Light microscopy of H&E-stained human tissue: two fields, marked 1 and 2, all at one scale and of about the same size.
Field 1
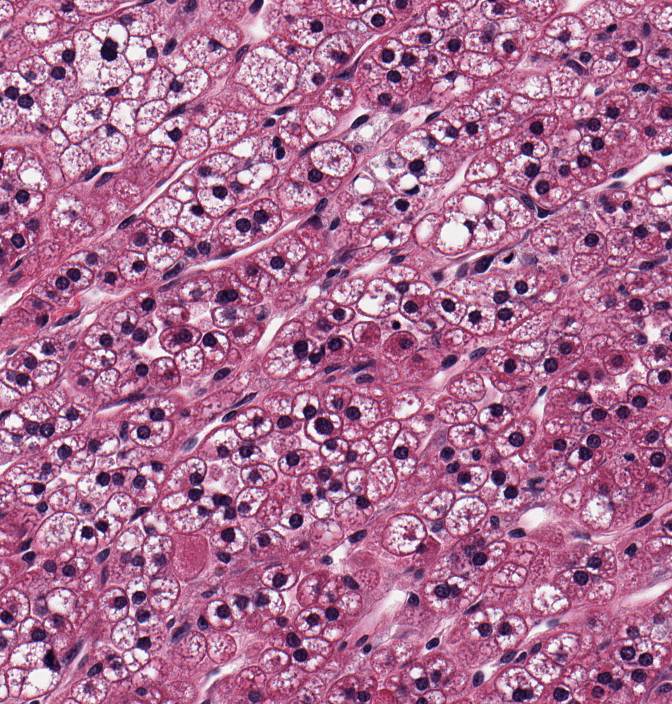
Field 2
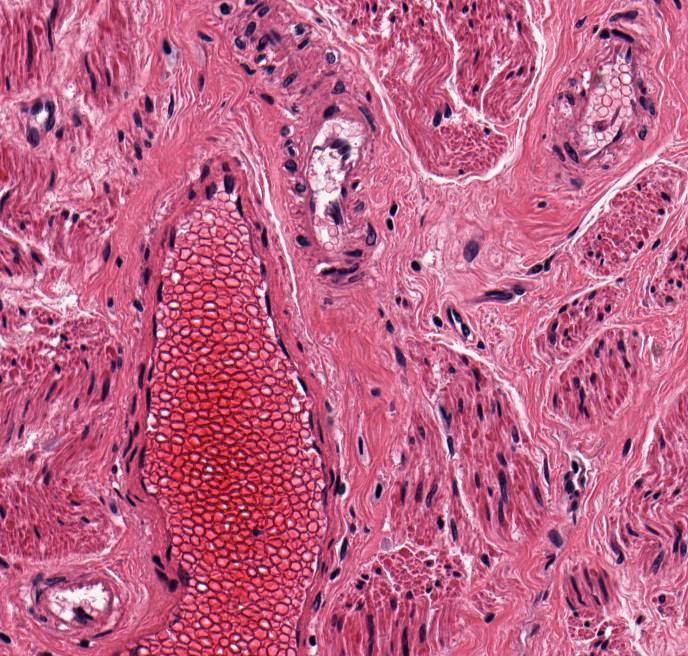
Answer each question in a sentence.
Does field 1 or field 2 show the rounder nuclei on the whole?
It is field 1 whose nuclei are the rounder.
